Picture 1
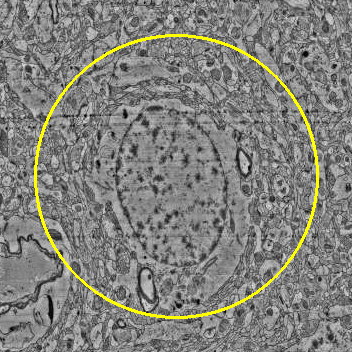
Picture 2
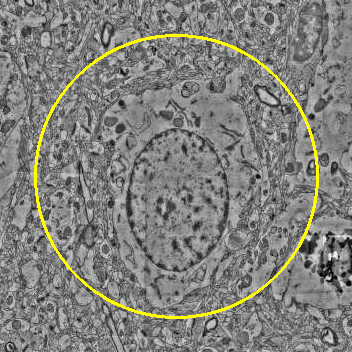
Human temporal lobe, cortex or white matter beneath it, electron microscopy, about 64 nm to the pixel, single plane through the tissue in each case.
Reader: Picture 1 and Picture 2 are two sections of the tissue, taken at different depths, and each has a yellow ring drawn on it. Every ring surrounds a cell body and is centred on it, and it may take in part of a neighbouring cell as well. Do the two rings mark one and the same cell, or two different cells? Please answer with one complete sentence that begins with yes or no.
No, each ring in the micrograph marks a distinct cell.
